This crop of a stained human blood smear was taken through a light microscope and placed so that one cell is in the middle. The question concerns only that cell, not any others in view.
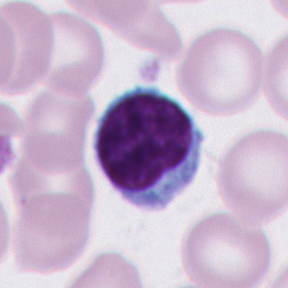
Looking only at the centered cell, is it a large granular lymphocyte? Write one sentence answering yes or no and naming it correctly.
No, the central cell here is a typical lymphocyte; calling it a large granular lymphocyte is not right.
